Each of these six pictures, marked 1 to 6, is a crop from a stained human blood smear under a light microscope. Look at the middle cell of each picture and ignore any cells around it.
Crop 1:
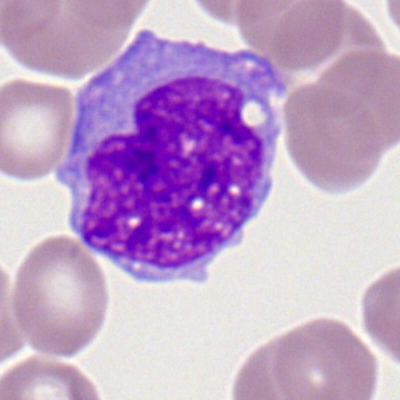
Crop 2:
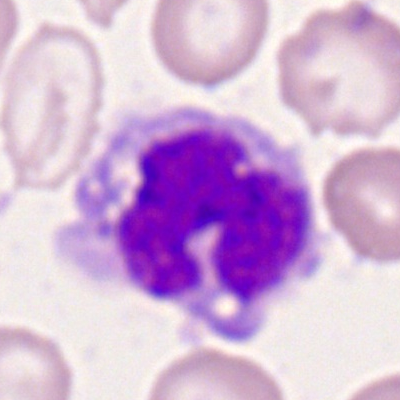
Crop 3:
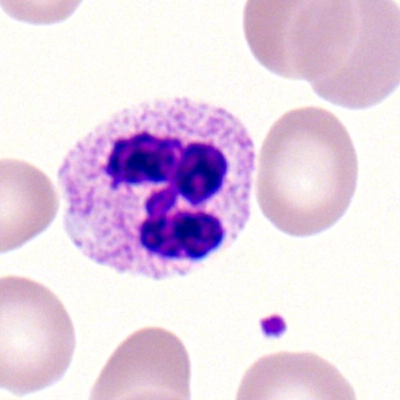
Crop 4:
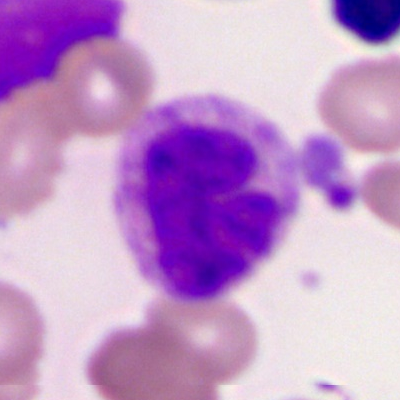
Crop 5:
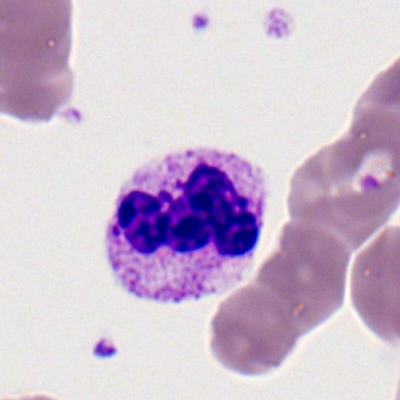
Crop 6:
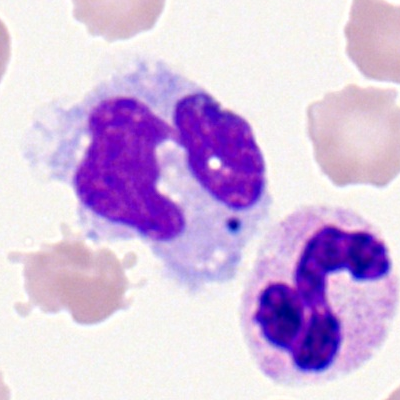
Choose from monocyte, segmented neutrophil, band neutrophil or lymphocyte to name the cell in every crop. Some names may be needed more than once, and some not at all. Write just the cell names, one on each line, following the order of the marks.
monocyte
monocyte
segmented neutrophil
band neutrophil
segmented neutrophil
monocyte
